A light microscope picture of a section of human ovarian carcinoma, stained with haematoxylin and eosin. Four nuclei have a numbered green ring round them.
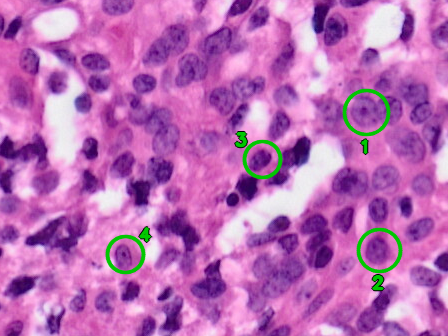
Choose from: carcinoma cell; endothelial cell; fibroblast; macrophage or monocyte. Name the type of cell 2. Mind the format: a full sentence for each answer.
The cell assigned the number 2 is a carcinoma cell.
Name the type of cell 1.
The cell identified by number 1 is a carcinoma cell.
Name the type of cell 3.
The cell numbered 3 represents a carcinoma cell.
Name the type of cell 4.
In the marked set, the cell given number 4 is a macrophage or monocyte.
